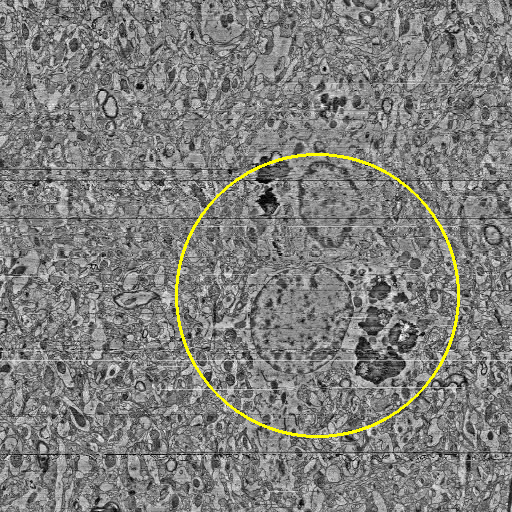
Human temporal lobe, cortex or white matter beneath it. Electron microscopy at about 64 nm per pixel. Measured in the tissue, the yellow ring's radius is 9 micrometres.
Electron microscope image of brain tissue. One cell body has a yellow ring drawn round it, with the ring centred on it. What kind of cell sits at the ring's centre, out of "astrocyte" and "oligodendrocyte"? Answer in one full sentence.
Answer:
It is an astrocyte whose cell body sits at the centre of the yellow ring.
